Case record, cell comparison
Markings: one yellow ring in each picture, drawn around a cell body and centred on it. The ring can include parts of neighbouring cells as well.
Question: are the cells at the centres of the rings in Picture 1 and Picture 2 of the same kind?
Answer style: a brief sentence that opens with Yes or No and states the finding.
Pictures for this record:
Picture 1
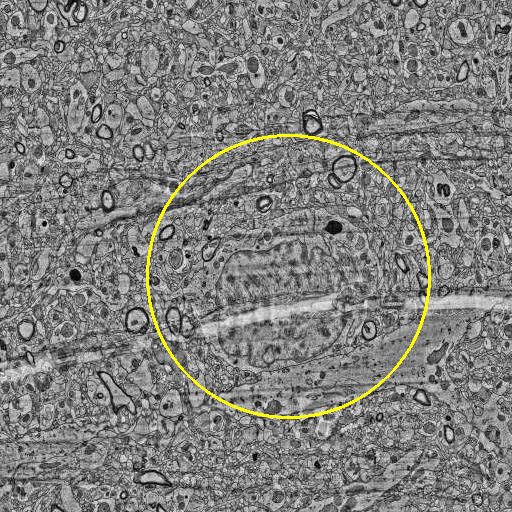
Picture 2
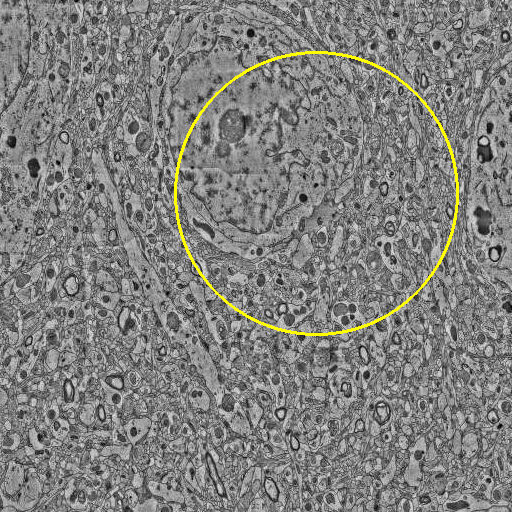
No, the cells in Picture 1 and Picture 2 are of two kinds.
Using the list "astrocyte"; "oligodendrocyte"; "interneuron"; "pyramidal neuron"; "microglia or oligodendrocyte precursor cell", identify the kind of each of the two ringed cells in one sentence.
The first is an interneuron and the second is an oligodendrocyte.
